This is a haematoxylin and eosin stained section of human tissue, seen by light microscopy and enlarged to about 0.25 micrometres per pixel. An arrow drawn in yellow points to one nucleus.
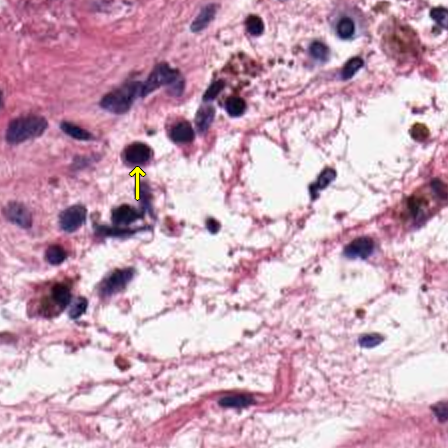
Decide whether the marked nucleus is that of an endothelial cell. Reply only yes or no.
no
